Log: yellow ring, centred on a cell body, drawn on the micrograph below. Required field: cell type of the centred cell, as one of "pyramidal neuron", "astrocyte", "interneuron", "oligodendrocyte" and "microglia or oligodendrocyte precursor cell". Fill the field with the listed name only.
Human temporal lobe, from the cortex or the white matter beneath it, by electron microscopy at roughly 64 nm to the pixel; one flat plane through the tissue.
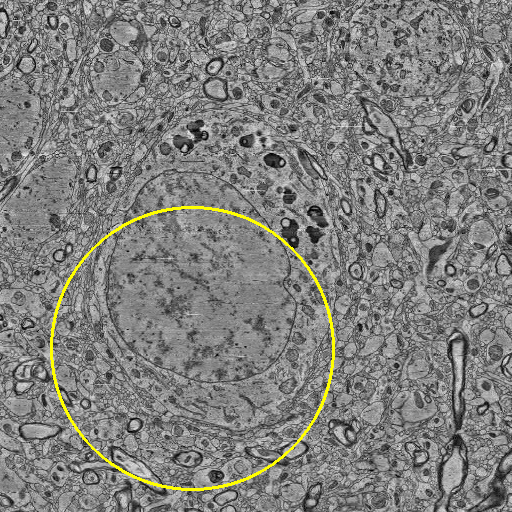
pyramidal neuron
